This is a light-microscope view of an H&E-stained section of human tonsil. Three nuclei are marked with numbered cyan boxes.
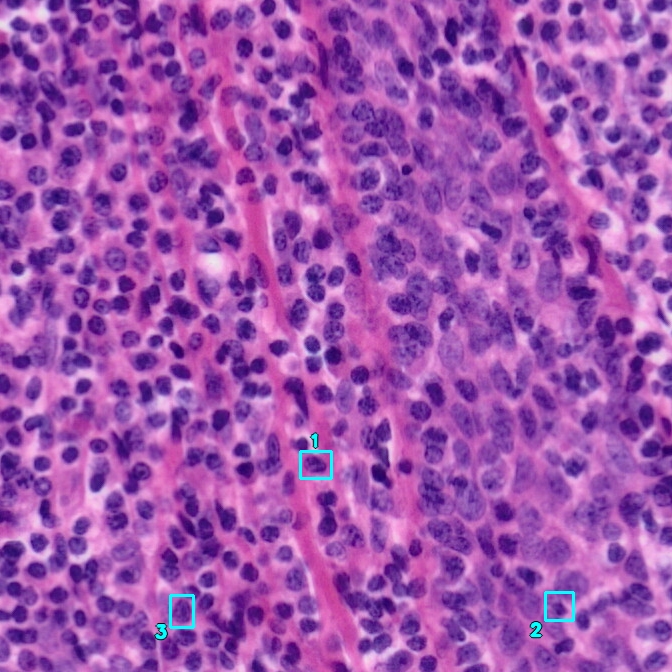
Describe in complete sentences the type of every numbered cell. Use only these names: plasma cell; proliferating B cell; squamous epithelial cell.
Cells 1 and 3 are plasma cells. Cell 2 is a squamous epithelial cell.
